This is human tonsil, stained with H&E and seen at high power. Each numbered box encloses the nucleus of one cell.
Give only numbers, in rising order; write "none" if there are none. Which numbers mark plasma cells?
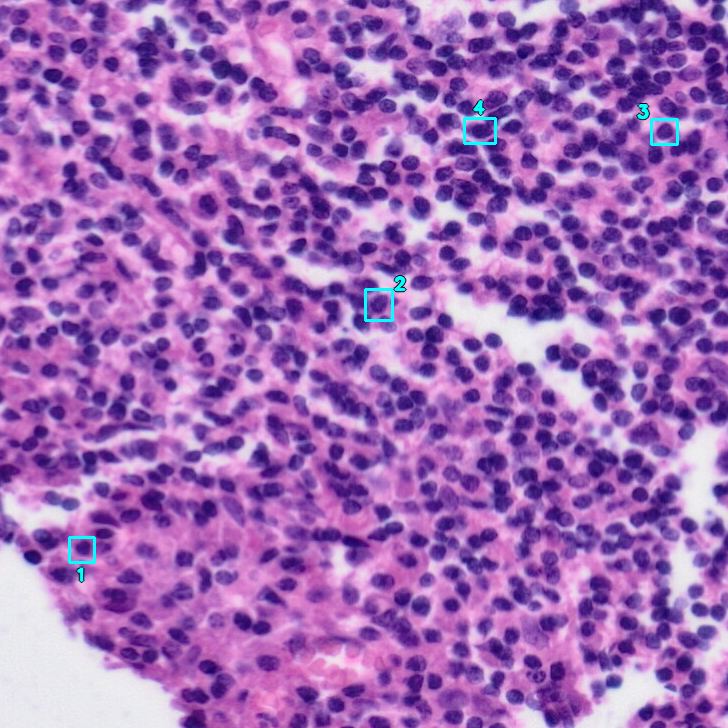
1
